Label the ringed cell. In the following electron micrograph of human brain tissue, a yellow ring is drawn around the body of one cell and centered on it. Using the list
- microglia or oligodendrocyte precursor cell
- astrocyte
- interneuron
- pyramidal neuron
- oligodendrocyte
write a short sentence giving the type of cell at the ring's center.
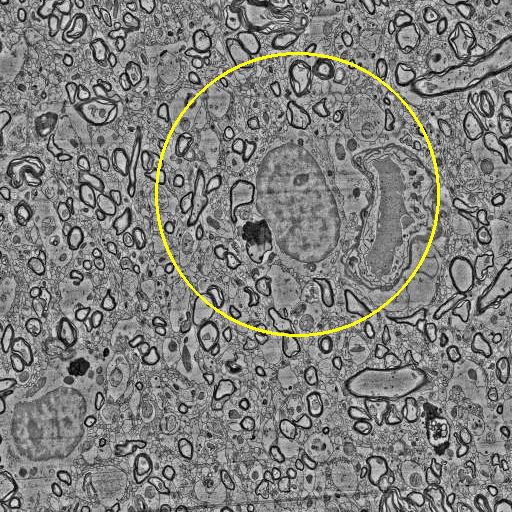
The cell body at the ring's center is that of an oligodendrocyte.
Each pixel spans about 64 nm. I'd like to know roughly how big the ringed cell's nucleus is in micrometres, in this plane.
In this plane, approximately 8 by 5 micrometers.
